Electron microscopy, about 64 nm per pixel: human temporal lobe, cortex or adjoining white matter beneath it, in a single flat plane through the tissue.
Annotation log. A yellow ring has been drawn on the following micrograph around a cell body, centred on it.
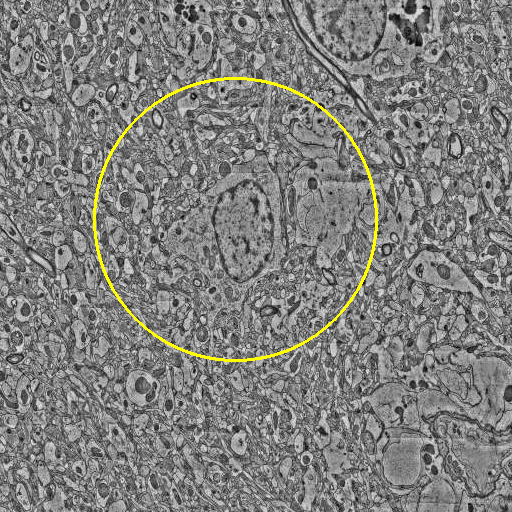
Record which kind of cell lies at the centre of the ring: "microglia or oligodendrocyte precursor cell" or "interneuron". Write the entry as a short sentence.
The cell the ring is centred on is a microglial cell or oligodendrocyte precursor cell.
